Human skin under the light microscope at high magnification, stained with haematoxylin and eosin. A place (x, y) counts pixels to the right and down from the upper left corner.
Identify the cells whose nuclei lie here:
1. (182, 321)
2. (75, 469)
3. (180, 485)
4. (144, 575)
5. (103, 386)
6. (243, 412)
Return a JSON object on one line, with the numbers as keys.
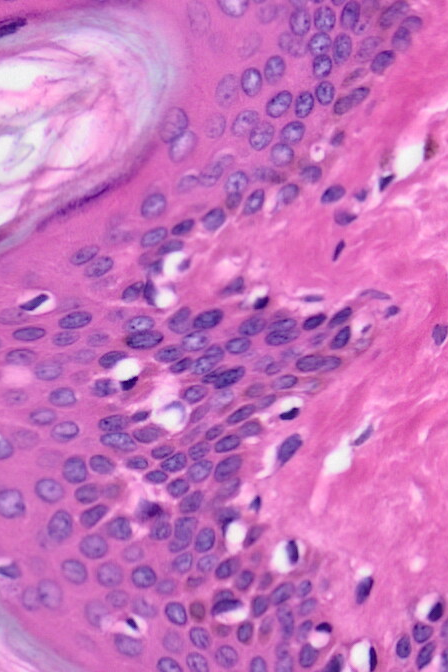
{"1": "basal keratinocyte", "2": "suprabasal keratinocyte", "3": "basal keratinocyte", "4": "suprabasal keratinocyte", "5": "basal keratinocyte", "6": "basal keratinocyte"}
